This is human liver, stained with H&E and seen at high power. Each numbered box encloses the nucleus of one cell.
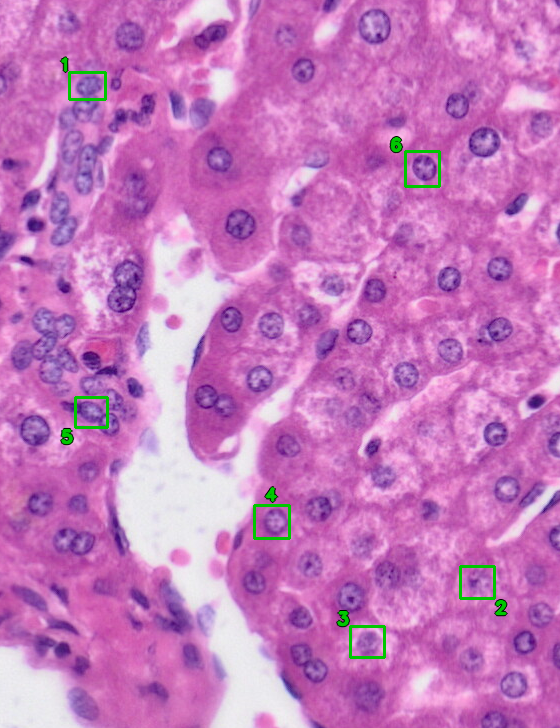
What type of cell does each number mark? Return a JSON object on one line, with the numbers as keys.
{"1": "cholangiocyte", "2": "hepatocyte", "3": "hepatocyte", "4": "hepatocyte", "5": "cholangiocyte", "6": "hepatocyte"}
